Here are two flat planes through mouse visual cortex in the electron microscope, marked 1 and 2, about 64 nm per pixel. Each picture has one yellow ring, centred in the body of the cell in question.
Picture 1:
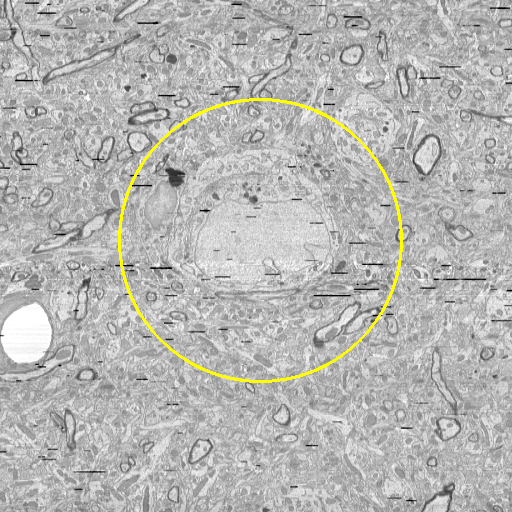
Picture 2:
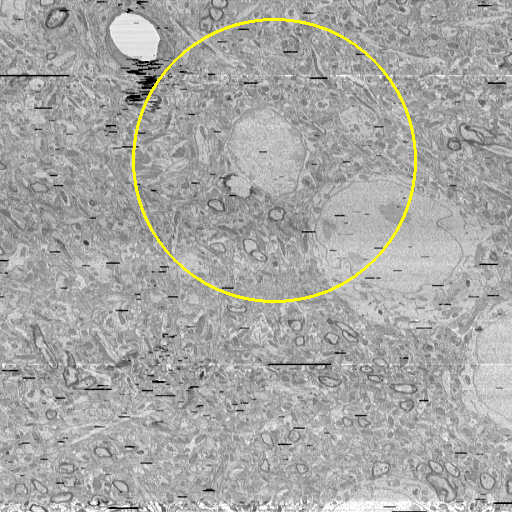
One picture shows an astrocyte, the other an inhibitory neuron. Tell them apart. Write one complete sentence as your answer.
In picture 1 the cell is an inhibitory neuron; in picture 2, an astrocyte.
